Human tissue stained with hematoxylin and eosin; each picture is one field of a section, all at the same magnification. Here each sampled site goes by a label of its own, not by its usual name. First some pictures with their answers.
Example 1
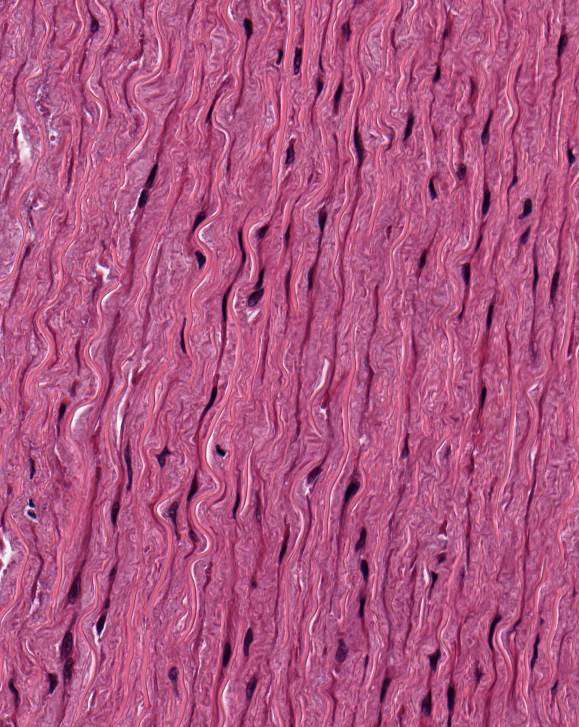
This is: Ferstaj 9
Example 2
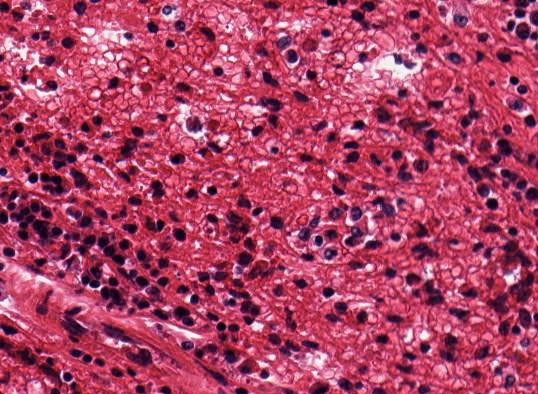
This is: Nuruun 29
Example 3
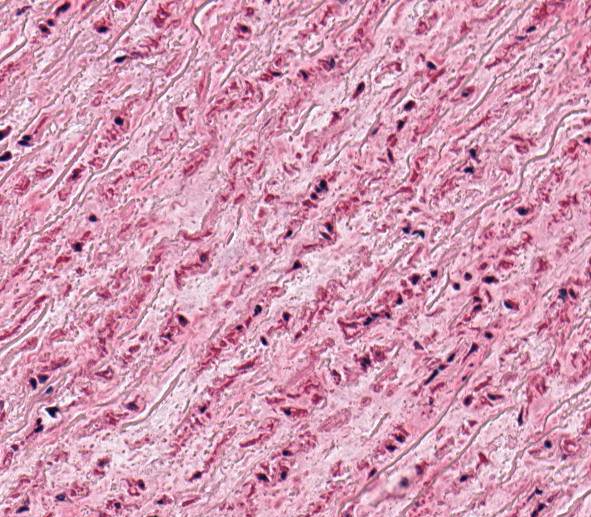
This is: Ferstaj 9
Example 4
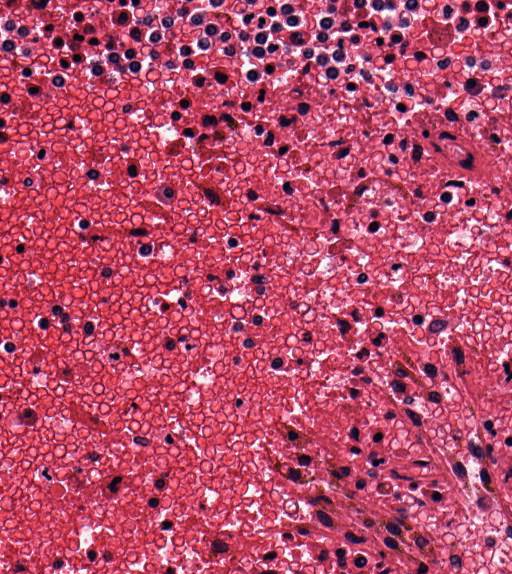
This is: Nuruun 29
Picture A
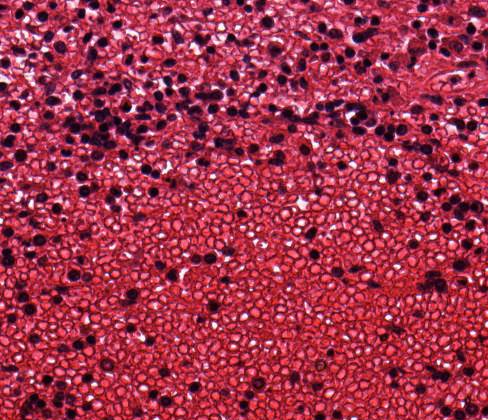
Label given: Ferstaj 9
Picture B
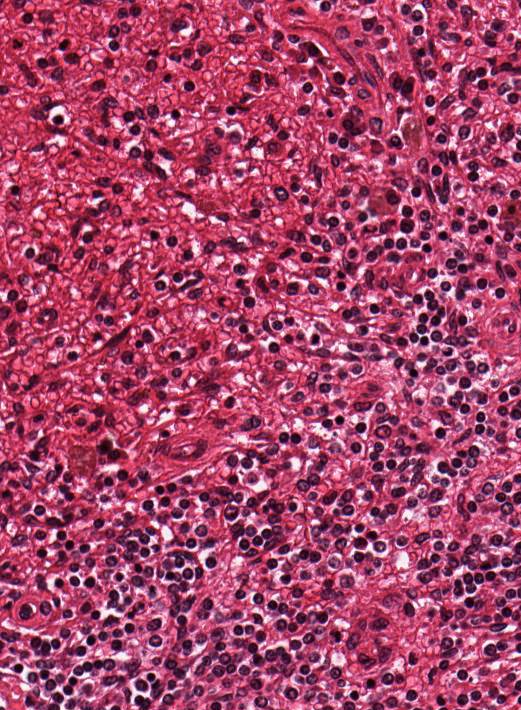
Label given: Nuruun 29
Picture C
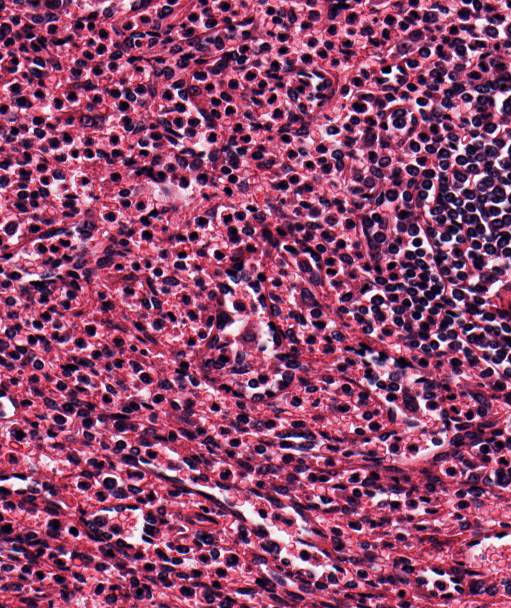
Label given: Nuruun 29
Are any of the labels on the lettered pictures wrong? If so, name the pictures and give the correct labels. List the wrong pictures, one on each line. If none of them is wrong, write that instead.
A: change Ferstaj 9 to Nuruun 29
